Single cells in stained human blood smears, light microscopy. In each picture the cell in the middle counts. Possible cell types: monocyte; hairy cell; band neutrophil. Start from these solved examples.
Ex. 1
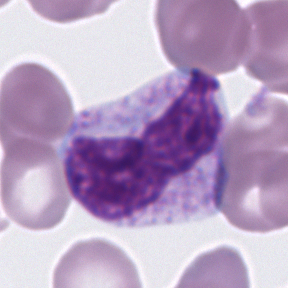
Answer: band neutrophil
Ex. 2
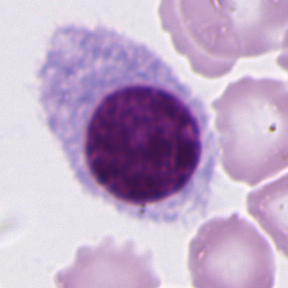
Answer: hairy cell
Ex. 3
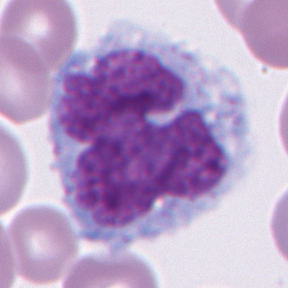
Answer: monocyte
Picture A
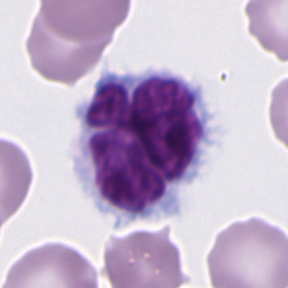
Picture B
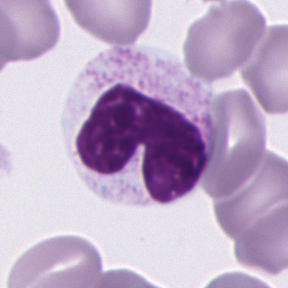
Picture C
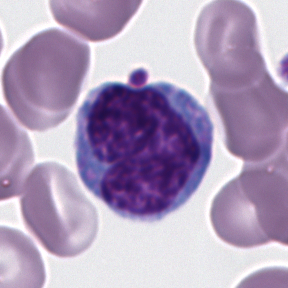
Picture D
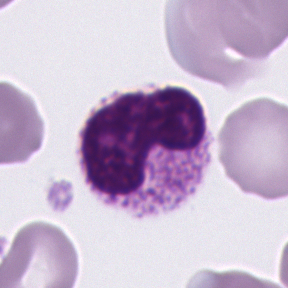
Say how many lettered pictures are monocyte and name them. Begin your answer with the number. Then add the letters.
1, namely C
